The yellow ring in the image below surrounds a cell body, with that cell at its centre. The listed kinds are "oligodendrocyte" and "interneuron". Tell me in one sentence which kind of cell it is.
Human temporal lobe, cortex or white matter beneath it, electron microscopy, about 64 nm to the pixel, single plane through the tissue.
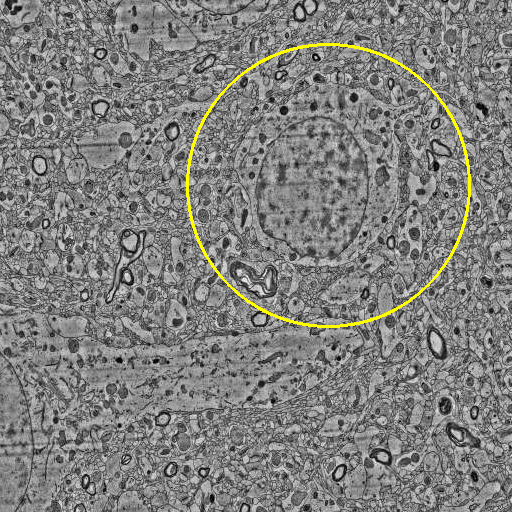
The centre of the ring holds an interneuron.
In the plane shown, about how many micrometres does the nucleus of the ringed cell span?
Roughly 9 micrometres by 7 micrometres, in this plane.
